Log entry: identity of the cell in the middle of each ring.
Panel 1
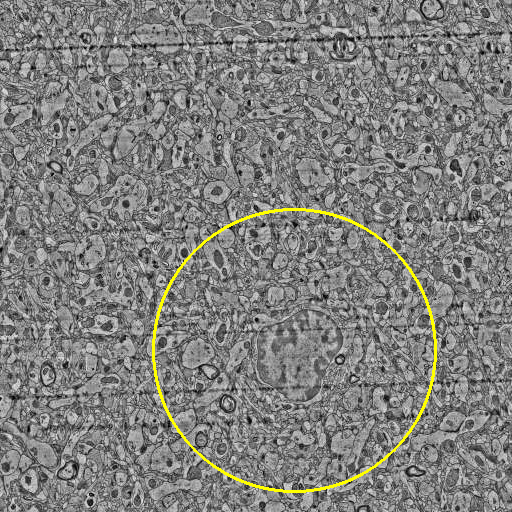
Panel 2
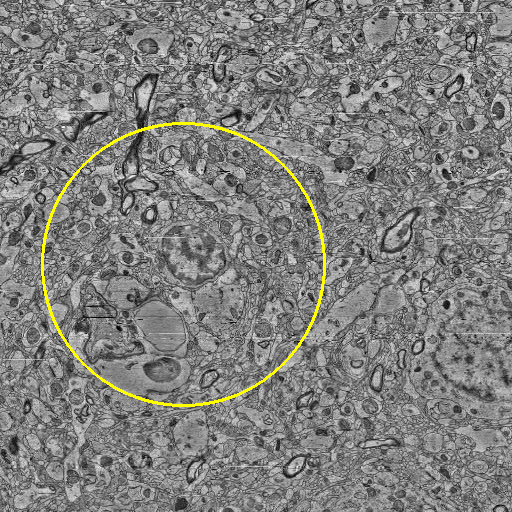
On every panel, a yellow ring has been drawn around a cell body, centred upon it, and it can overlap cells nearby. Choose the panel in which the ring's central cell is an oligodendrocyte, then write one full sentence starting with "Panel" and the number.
Panel 2 shows the requested cell sitting in the middle of its ring.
